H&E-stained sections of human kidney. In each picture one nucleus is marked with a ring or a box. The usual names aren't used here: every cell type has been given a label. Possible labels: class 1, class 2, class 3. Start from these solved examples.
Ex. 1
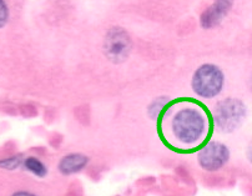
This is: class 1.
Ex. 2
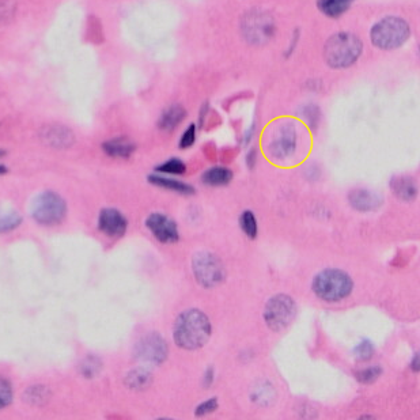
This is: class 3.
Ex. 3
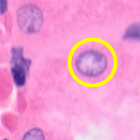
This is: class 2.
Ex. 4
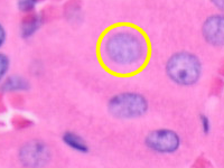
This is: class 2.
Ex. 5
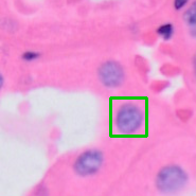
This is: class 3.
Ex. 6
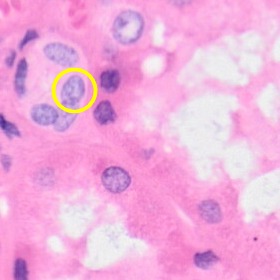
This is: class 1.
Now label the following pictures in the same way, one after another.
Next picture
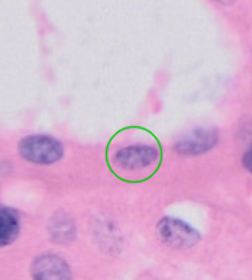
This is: class 3.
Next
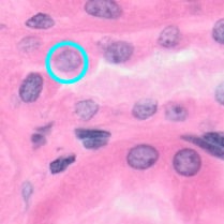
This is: class 3.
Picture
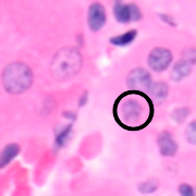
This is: class 1.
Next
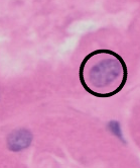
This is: class 2.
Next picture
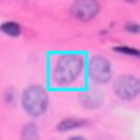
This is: class 1.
